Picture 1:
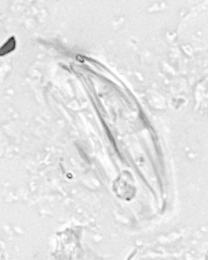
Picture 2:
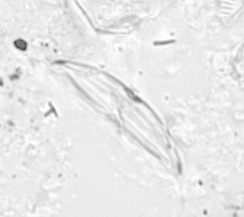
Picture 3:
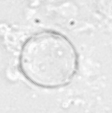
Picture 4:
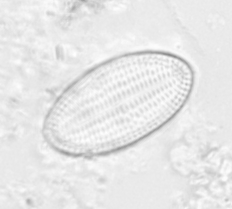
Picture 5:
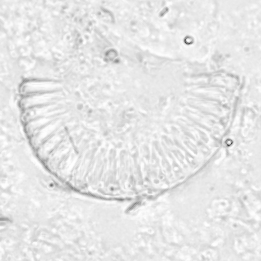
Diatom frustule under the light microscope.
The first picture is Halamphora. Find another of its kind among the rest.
Picture 2.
